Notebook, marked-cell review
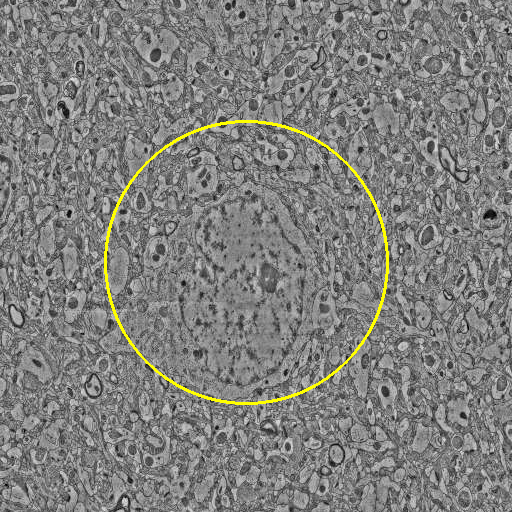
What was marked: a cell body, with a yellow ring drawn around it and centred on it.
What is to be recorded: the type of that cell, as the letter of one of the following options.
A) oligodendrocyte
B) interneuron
B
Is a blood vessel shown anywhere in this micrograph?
No, a blood vessel is absent from this picture.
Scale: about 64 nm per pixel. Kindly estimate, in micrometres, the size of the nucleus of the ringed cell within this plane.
In this plane the nucleus is clearly longer than it is wide, at approximately 12 by 8 micrometres.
